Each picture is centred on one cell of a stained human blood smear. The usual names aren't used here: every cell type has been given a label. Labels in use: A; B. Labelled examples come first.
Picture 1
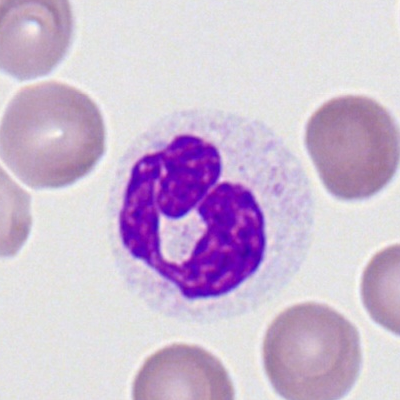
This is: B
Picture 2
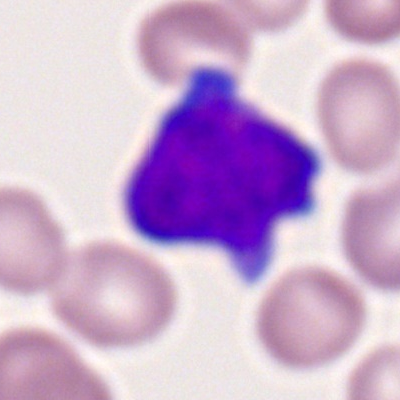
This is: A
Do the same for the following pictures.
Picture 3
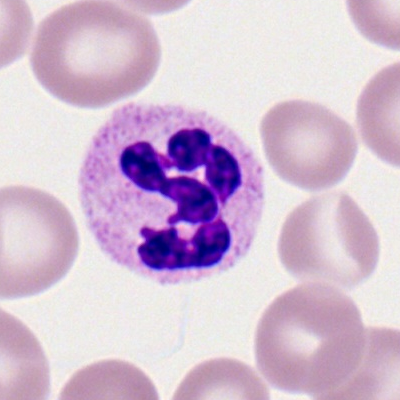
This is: B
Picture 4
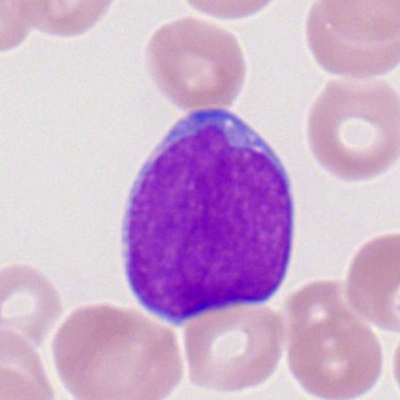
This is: A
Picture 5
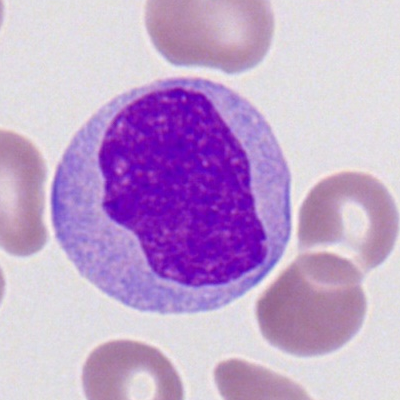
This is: A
